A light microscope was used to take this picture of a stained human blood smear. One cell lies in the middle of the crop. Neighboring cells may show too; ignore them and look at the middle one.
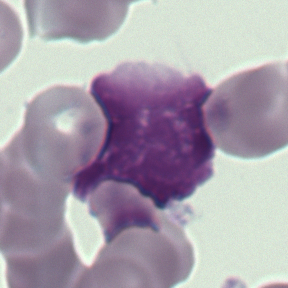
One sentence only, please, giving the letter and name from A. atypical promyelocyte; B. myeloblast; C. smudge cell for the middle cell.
Option C is the correct one; it names the central cell as a smudge cell.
